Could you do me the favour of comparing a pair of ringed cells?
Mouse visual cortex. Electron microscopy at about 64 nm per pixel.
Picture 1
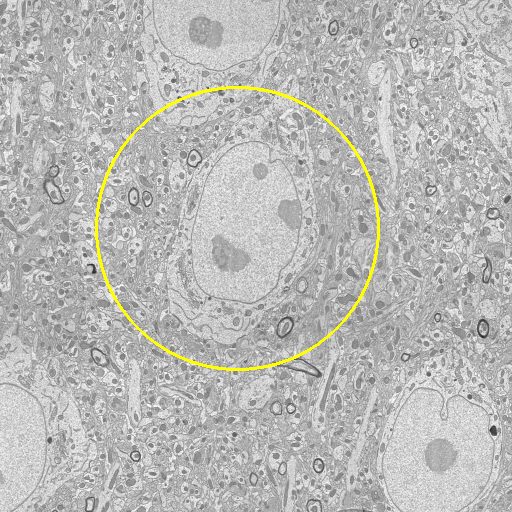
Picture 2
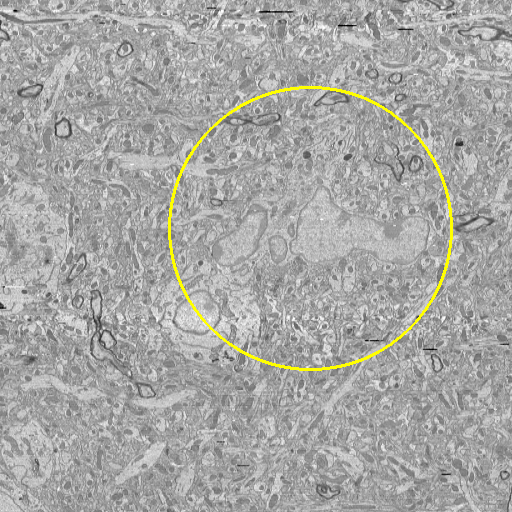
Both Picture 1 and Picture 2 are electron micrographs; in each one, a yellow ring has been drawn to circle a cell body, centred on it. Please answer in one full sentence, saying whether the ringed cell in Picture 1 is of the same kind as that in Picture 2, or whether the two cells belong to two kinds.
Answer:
The ringed cells in Picture 1 and Picture 2 belong to two kinds.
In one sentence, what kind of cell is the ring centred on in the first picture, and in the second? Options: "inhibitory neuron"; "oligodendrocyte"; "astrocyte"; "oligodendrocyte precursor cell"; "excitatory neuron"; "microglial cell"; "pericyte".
The cell at the centre of the second ring is an oligodendrocyte precursor cell; the first ring's cell is an excitatory neuron.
